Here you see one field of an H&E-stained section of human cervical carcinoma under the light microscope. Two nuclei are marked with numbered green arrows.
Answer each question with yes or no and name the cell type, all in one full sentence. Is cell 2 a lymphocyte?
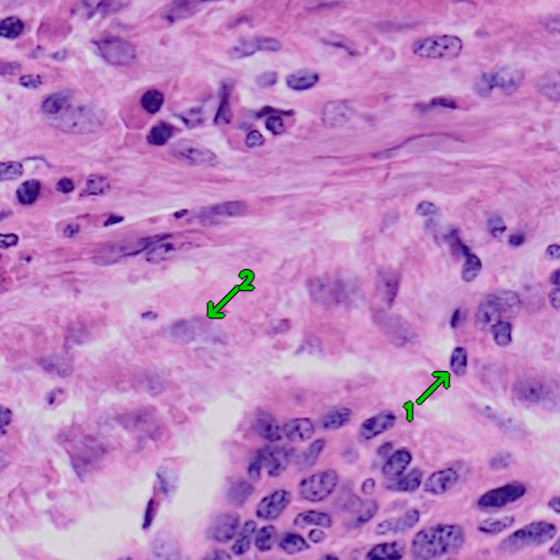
No, cell 2 represents a fibroblast rather than a lymphocyte.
